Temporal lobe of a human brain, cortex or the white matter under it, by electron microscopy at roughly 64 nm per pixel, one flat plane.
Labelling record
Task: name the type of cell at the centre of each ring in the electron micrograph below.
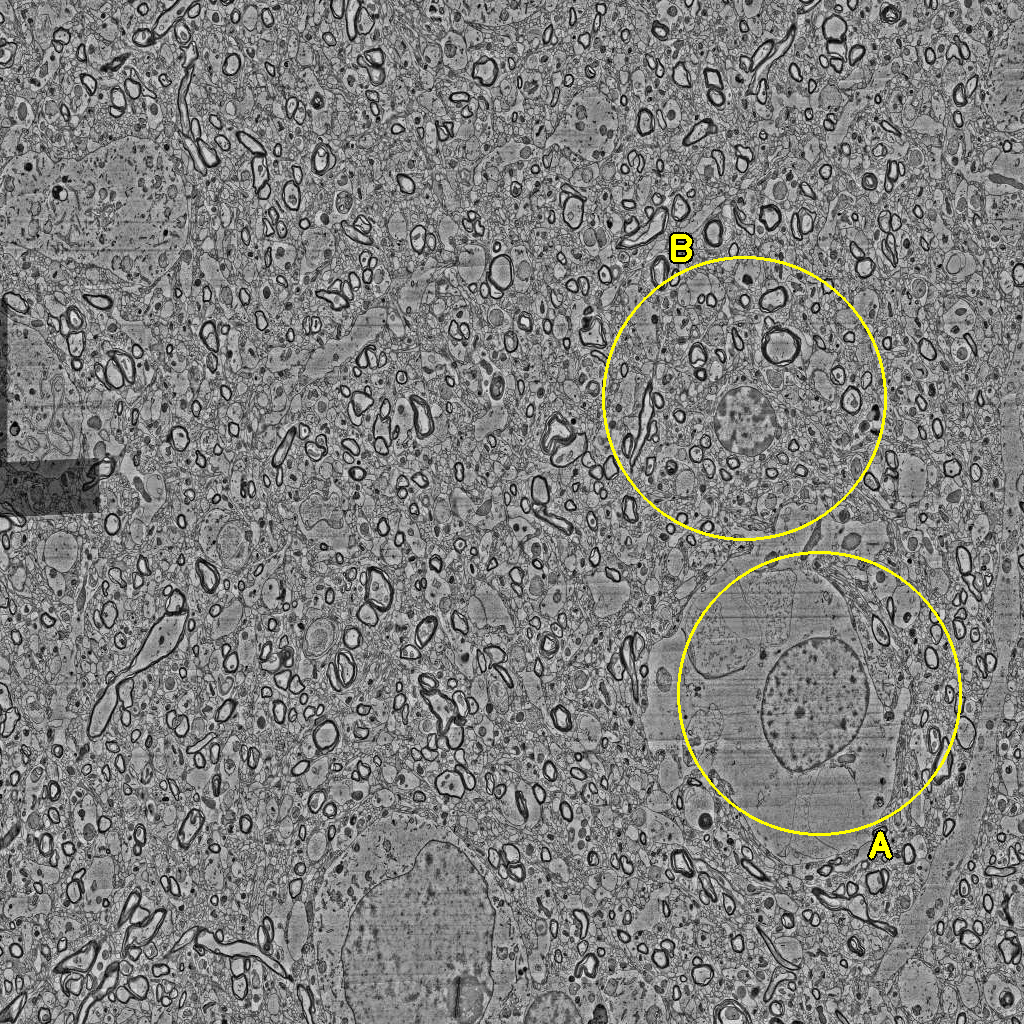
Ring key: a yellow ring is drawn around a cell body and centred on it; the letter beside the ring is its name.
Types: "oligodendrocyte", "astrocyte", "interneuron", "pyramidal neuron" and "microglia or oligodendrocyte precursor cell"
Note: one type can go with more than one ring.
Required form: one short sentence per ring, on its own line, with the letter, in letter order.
In ring A, the centred cell is an astrocyte.
In ring B, the centred cell is a microglial cell or oligodendrocyte precursor cell.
